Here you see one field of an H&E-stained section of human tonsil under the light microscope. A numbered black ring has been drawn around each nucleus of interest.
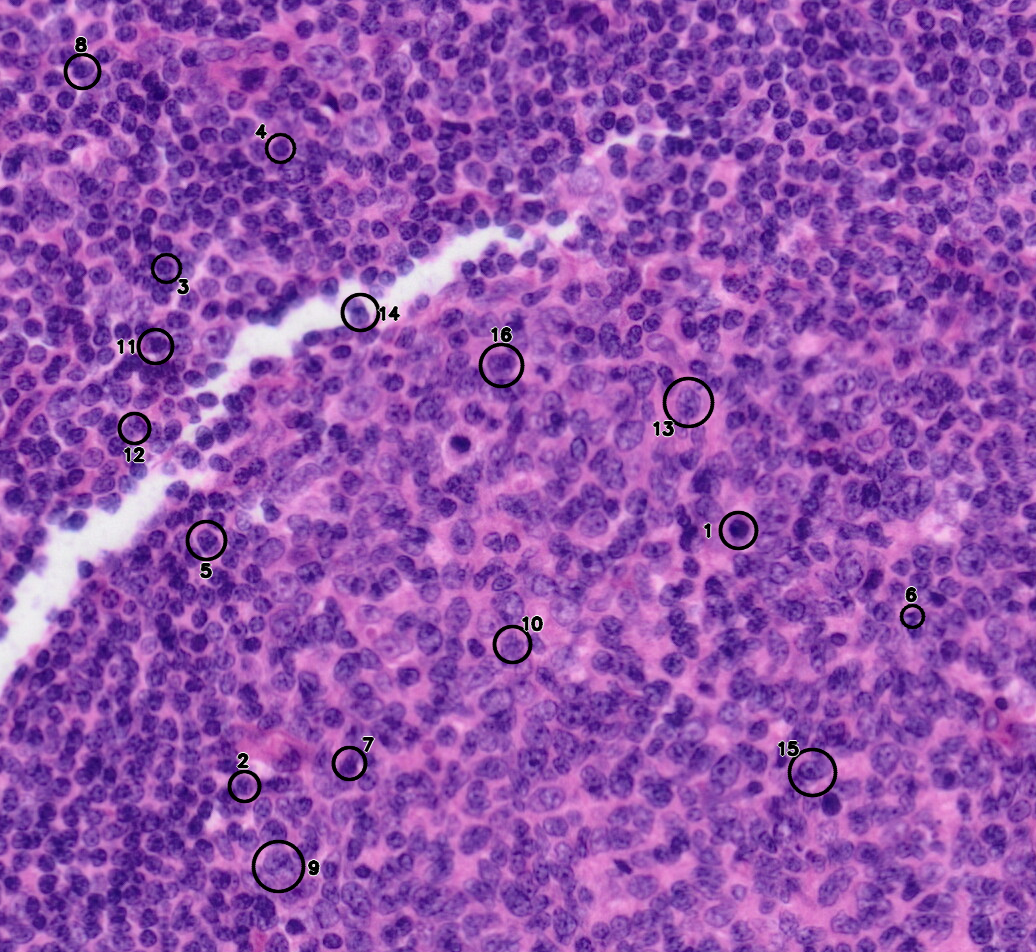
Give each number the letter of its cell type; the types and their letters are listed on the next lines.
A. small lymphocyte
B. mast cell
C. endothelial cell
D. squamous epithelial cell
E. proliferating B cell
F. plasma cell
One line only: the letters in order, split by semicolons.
E; A; A; A; A; E; E; A; E; E; A; A; E; A; E; E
